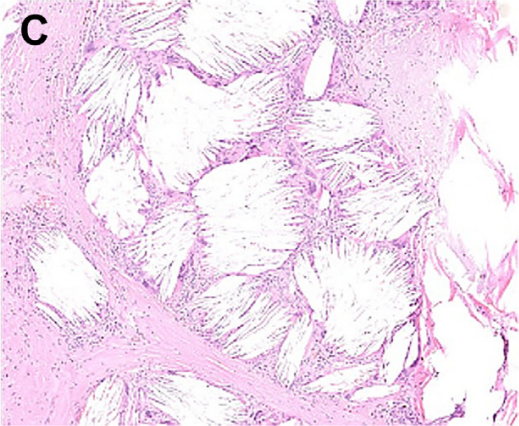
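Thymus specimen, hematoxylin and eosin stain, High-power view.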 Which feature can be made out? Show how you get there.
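Many empty, clear spaces fill the field. The spaces contain fine, feathery, needle-like streaks. Pink tissue strands separate the spaces.
Answer: cholesterol clefts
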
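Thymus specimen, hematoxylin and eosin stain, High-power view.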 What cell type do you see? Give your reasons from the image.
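Foreign body giant cells. Cellular rims surround the clear spaces.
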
